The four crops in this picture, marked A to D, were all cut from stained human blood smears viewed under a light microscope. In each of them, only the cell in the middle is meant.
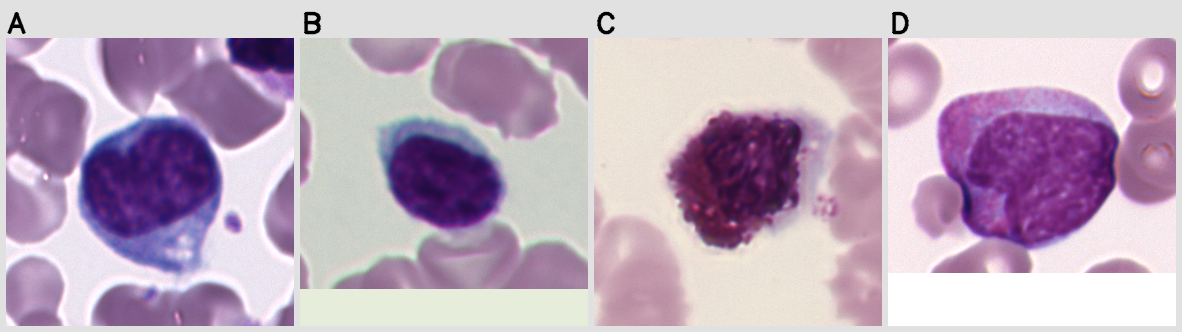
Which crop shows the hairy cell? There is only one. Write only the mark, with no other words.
B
